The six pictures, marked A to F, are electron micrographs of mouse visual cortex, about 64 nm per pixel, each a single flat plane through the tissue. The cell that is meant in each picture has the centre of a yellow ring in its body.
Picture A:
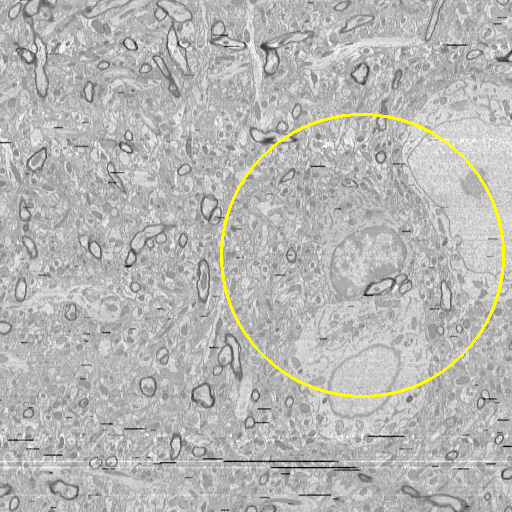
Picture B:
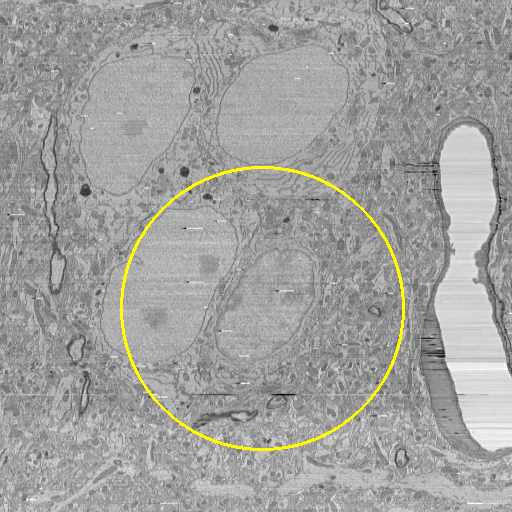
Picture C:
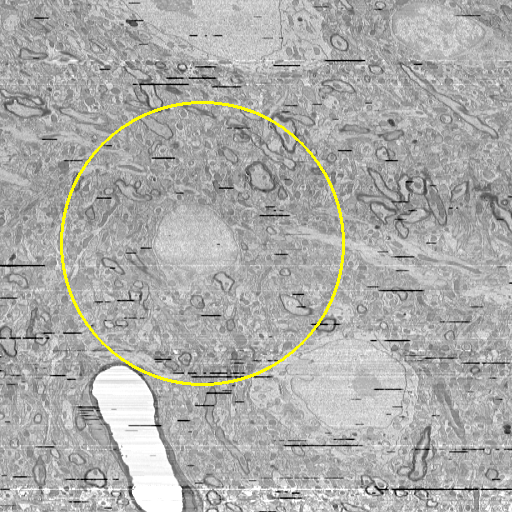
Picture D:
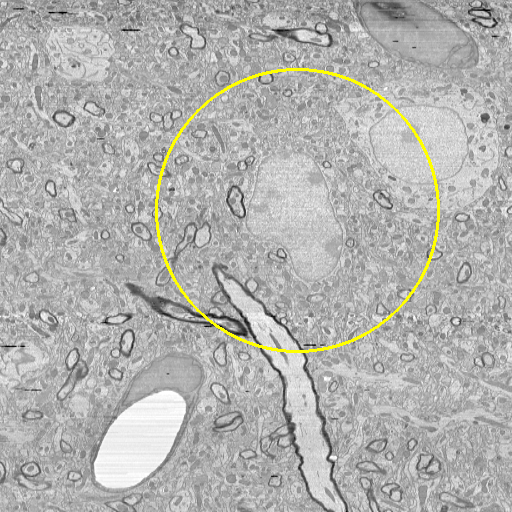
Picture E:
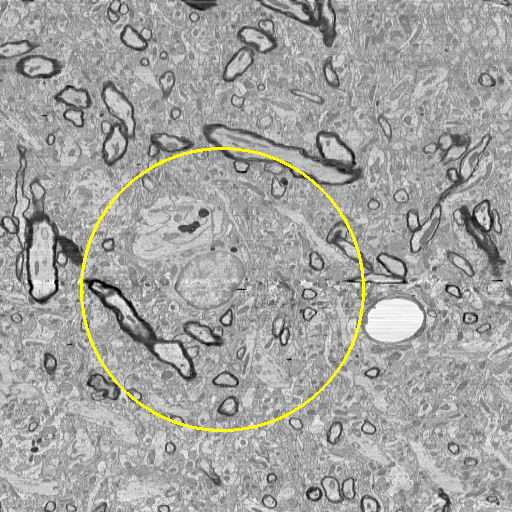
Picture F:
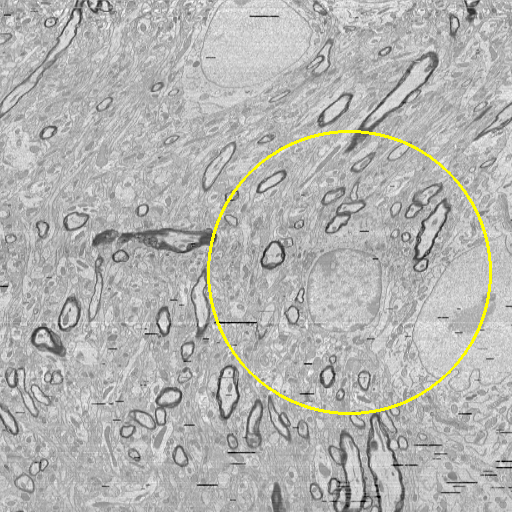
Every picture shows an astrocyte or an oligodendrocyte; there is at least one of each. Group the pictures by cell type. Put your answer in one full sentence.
Pictures C and D show astrocytes, while pictures A, B, E and F show oligodendrocytes.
